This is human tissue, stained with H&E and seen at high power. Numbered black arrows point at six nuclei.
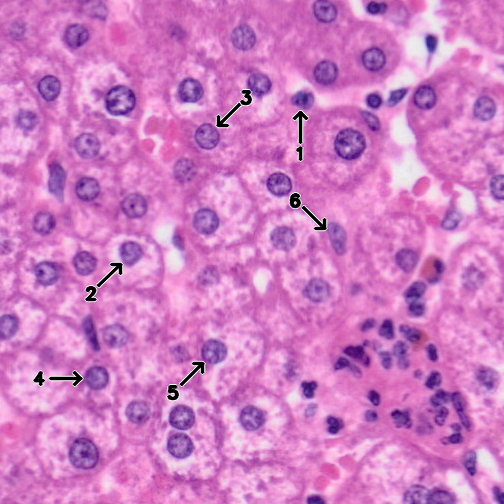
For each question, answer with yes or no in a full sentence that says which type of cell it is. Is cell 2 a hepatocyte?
Yes, the nucleus numbered 2 belongs to a hepatocyte.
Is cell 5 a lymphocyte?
No, cell 5 is not to be taken for a lymphocyte; it is a hepatocyte.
